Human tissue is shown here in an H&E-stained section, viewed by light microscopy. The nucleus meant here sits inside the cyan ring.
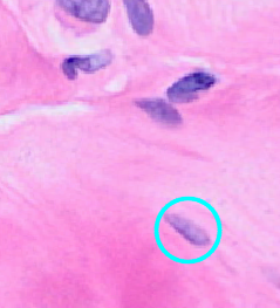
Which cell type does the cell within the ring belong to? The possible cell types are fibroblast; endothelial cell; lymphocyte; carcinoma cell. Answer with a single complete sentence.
The identity of the cell within the ring is that of a fibroblast.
